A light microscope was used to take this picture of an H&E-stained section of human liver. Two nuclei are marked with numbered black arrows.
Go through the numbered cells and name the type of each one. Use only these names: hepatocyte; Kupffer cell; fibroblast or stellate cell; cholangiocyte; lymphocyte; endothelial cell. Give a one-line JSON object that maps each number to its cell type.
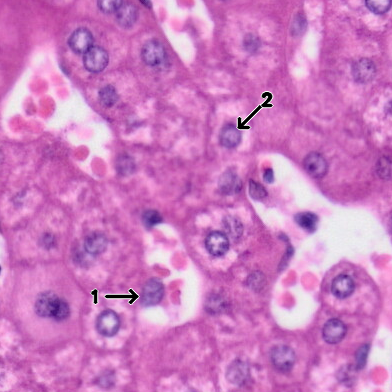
{"1": "Kupffer cell", "2": "hepatocyte"}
